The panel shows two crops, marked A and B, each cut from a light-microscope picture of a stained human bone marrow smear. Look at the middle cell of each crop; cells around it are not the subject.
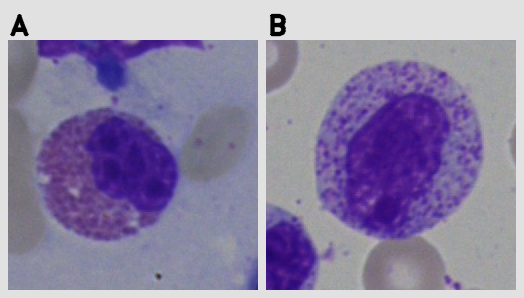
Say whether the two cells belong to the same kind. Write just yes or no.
no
